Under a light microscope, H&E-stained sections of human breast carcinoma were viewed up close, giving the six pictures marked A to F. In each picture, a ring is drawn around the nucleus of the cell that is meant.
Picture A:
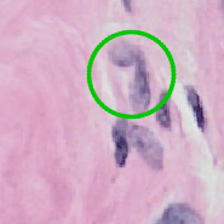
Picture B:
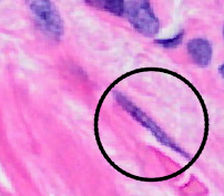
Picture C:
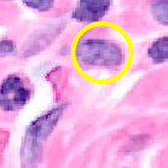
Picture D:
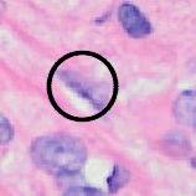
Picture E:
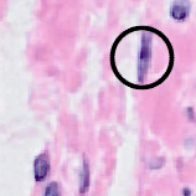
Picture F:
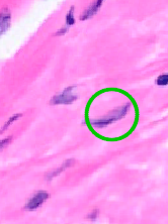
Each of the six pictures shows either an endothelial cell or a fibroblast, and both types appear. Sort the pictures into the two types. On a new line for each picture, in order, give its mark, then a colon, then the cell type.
A: endothelial cell
B: endothelial cell
C: endothelial cell
D: fibroblast
E: fibroblast
F: fibroblast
